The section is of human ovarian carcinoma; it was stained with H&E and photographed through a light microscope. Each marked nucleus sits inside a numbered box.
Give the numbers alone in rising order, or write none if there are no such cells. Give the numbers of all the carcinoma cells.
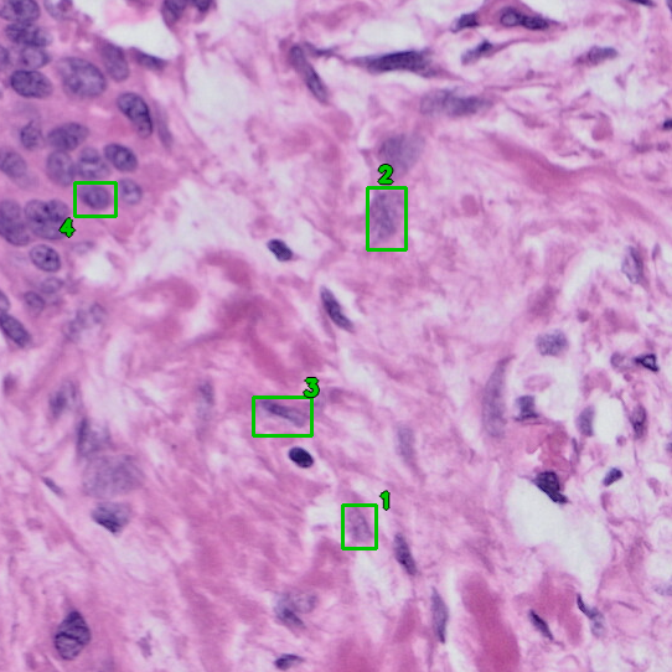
4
